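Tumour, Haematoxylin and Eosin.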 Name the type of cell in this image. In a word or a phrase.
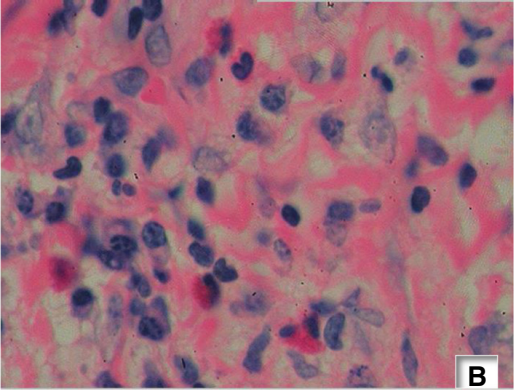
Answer: Spindle cells with a mixed population of inflammatory cells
